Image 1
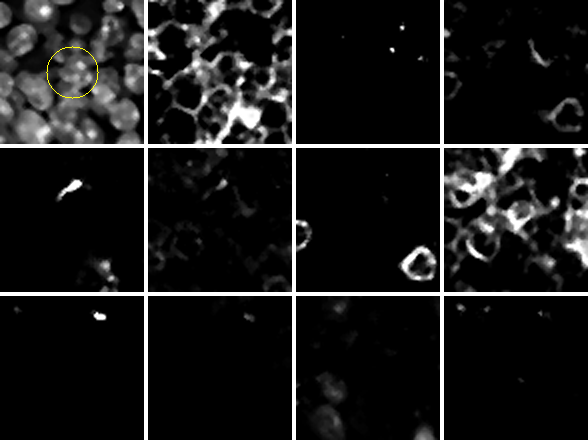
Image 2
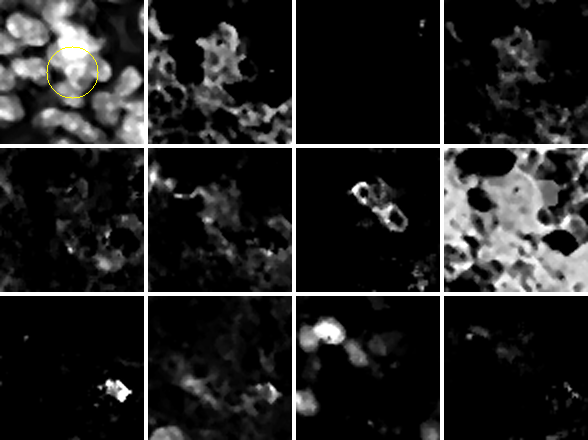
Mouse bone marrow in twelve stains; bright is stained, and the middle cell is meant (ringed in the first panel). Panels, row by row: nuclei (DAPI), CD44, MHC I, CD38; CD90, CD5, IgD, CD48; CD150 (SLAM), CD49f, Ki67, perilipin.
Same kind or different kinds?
Same: monocytes.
